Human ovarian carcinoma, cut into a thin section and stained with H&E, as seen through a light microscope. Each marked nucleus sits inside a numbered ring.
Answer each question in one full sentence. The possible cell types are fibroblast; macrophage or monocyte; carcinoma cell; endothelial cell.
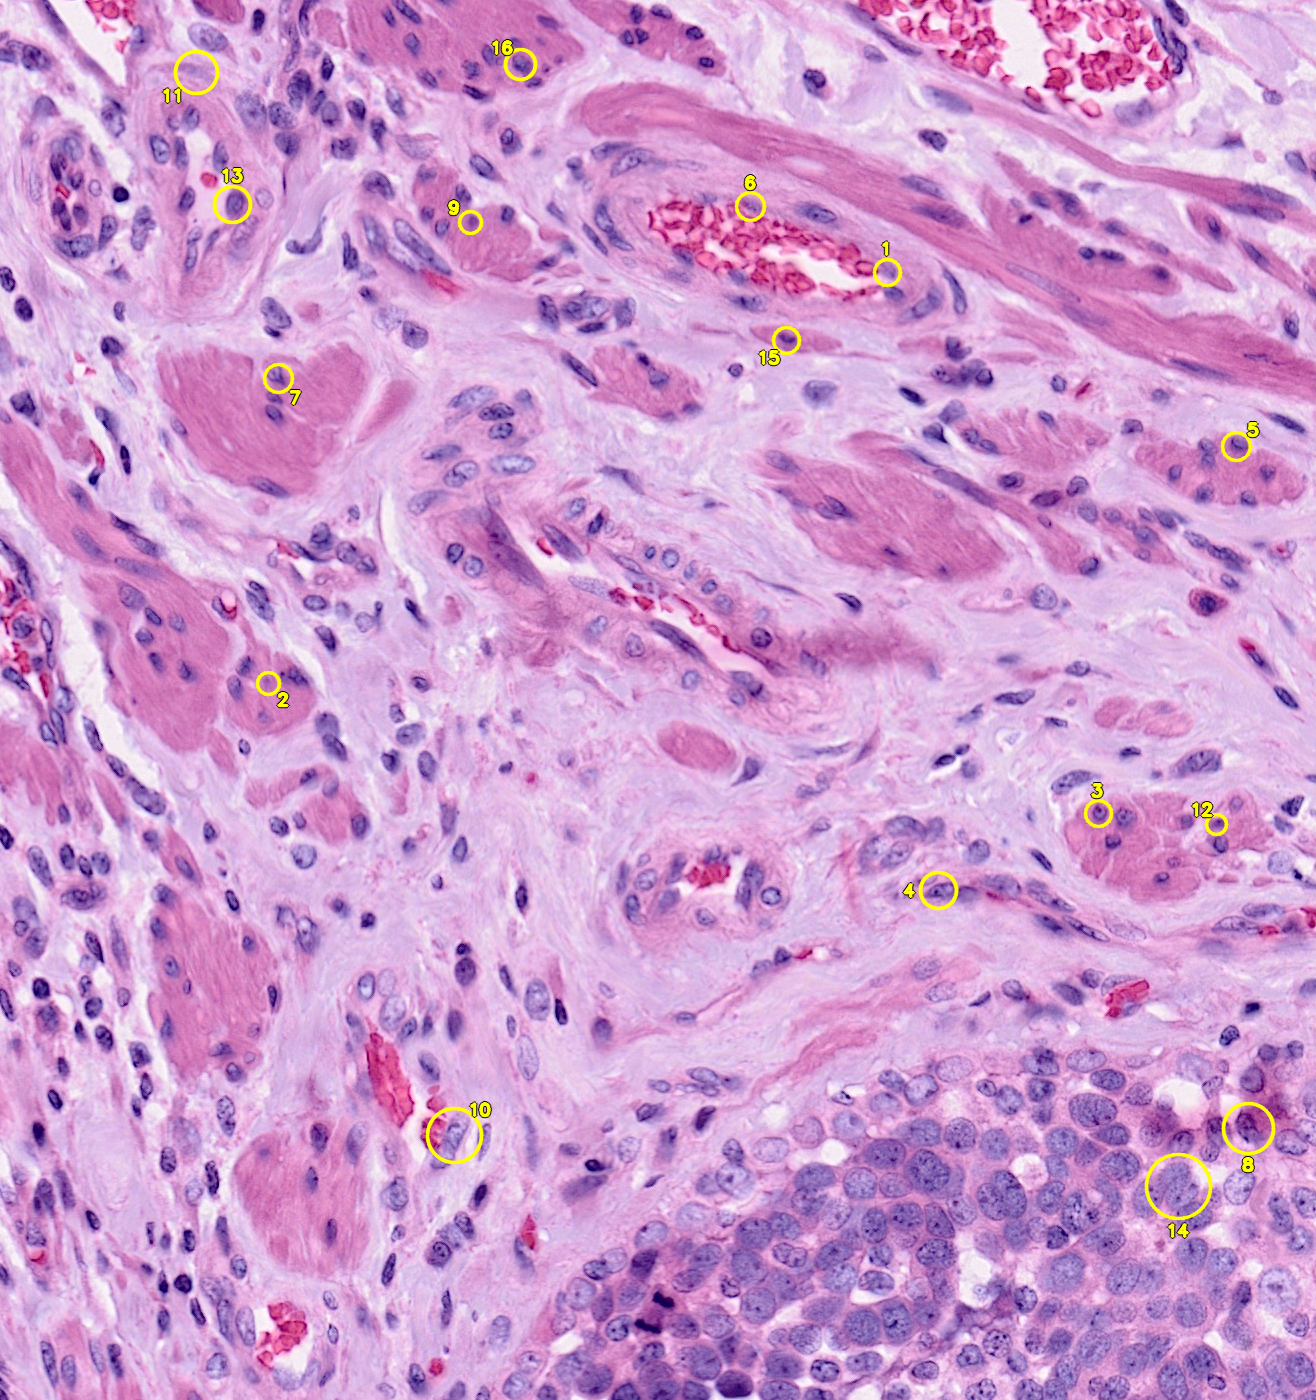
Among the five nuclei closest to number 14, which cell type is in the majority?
Macrophages or monocytes make up most of the five nuclei closest to number 14.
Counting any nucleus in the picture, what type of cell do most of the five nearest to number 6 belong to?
Endothelial cells make up most of the five nuclei closest to number 6.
